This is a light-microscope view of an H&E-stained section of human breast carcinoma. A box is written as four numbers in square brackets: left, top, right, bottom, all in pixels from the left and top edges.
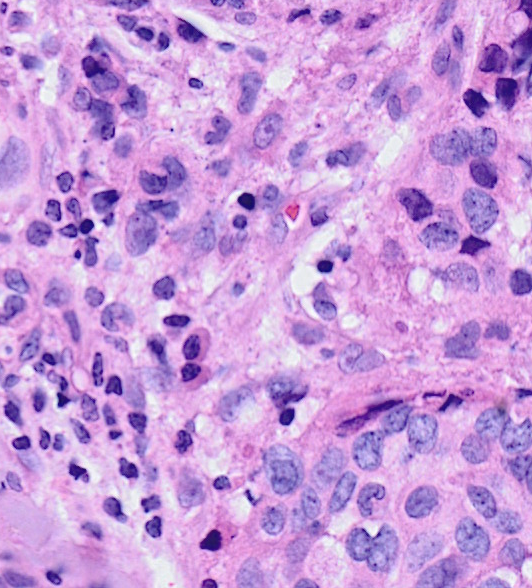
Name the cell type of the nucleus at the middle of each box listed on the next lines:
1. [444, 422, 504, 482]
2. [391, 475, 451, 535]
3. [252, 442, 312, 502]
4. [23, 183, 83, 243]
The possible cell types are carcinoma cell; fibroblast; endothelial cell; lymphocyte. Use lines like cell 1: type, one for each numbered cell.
cell 1: carcinoma cell
cell 2: carcinoma cell
cell 3: carcinoma cell
cell 4: lymphocyte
